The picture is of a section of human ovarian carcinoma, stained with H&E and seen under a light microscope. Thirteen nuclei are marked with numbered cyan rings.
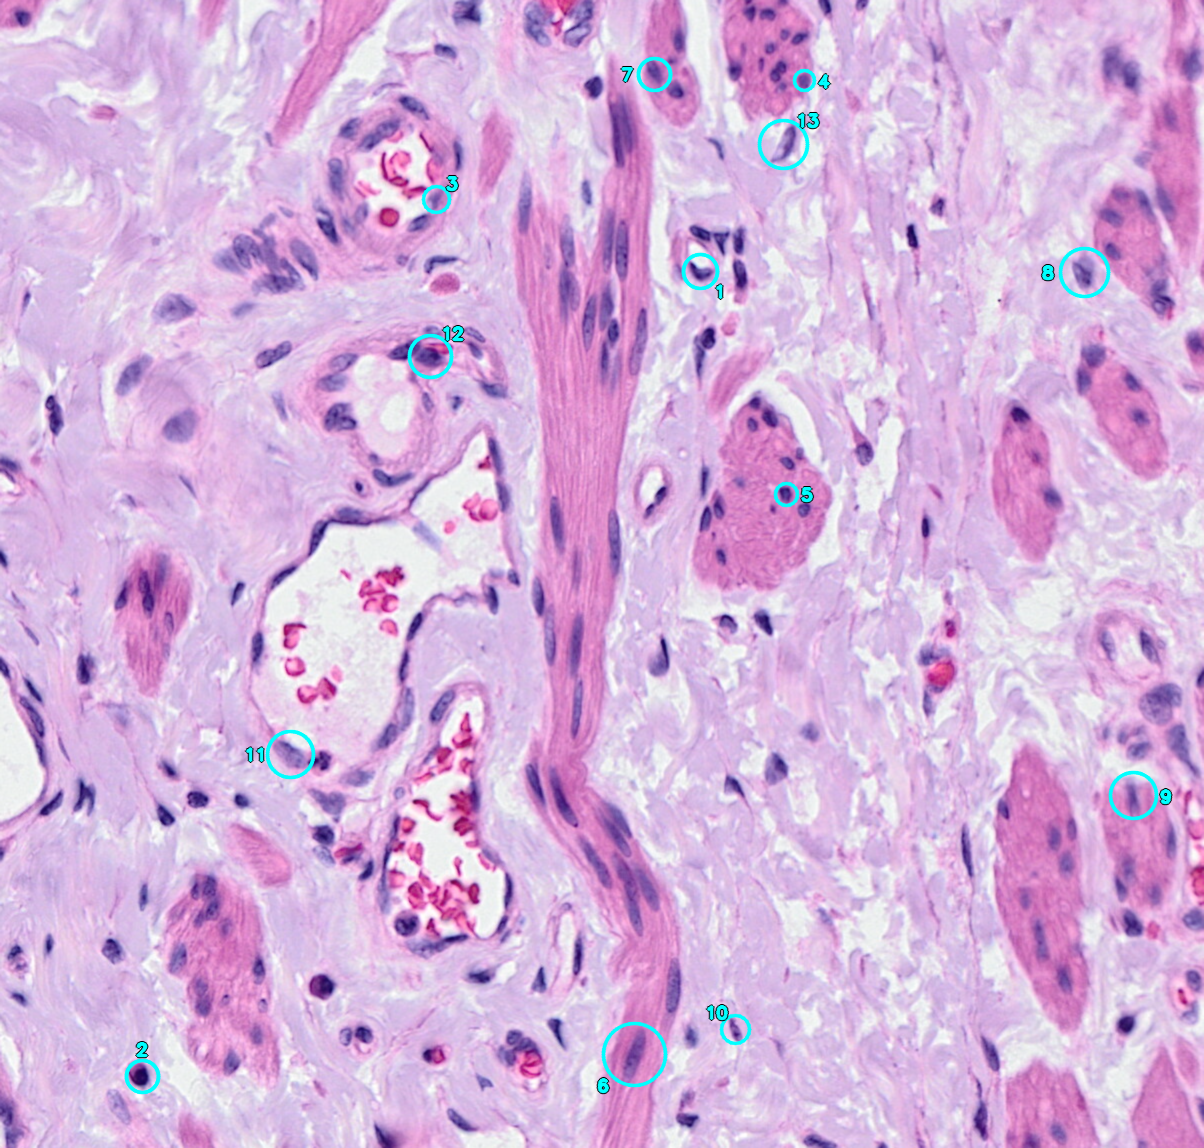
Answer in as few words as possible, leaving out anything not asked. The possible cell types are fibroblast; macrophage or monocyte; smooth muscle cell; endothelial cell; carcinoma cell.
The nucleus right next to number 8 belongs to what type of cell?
smooth muscle cell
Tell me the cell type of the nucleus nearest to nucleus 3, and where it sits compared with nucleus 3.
an endothelial cell below and to the left of nucleus 3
